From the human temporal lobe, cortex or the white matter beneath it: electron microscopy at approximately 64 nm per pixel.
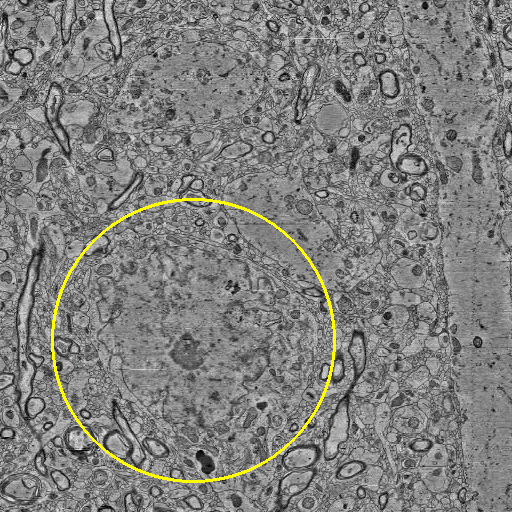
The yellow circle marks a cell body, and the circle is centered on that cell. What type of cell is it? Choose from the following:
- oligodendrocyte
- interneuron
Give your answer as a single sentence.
This cell body belongs to an interneuron.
